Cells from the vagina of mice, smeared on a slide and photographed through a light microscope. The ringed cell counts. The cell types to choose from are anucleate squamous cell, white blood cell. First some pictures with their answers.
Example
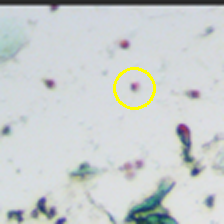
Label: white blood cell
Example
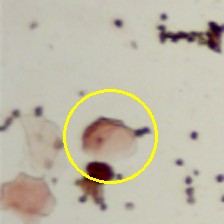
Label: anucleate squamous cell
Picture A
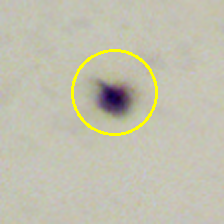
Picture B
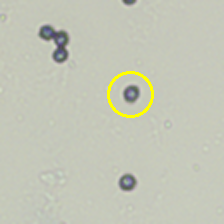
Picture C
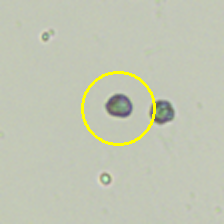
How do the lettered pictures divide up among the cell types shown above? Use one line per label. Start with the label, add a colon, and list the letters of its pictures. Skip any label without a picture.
white blood cell: A, B, C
